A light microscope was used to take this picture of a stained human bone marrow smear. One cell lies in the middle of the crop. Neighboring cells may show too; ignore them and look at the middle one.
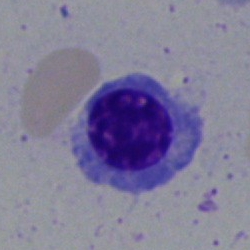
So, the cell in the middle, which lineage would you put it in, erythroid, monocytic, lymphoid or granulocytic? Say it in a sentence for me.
That the central cell belongs to the erythroid lineage is the finding here.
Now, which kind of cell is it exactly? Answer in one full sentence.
In the crop, the cell of interest at the centre is an erythroblast.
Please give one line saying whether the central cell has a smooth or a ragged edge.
The cytoplasmic margin is uneven, whether through ragged segments or through projections.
